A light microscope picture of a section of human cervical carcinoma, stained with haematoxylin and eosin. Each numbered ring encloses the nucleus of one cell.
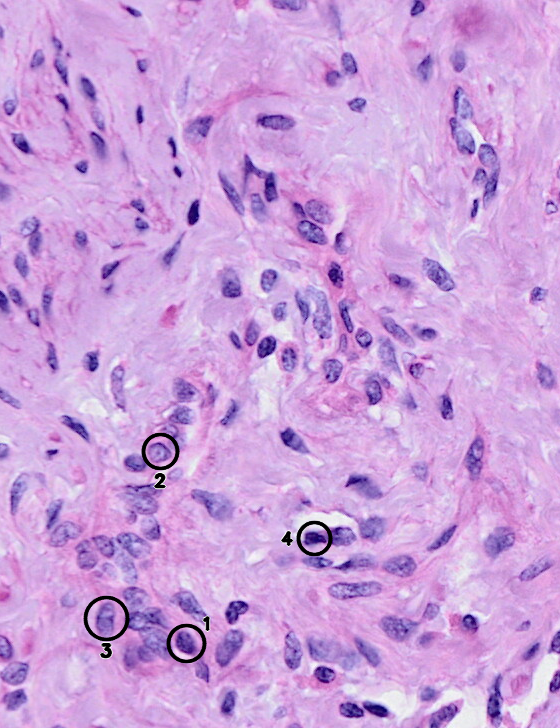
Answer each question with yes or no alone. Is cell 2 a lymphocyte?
no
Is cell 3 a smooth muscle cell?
yes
